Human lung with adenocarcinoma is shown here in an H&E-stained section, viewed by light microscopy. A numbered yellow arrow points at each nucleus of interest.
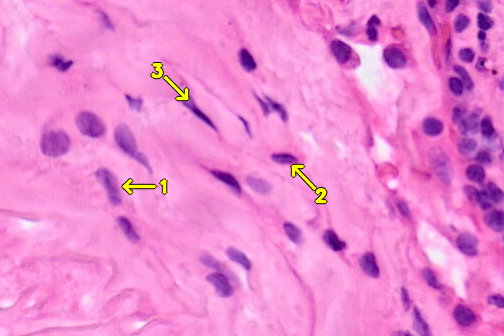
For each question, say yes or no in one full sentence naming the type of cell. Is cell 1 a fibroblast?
Yes, the cell shown as number 1 is a fibroblast.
